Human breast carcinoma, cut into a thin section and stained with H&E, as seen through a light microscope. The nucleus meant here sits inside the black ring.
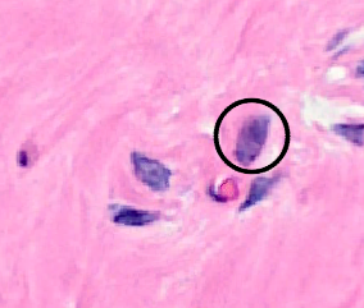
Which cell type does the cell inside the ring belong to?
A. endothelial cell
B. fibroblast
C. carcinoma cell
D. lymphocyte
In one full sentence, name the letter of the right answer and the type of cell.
Option A names the cell inside the ring correctly as an endothelial cell.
